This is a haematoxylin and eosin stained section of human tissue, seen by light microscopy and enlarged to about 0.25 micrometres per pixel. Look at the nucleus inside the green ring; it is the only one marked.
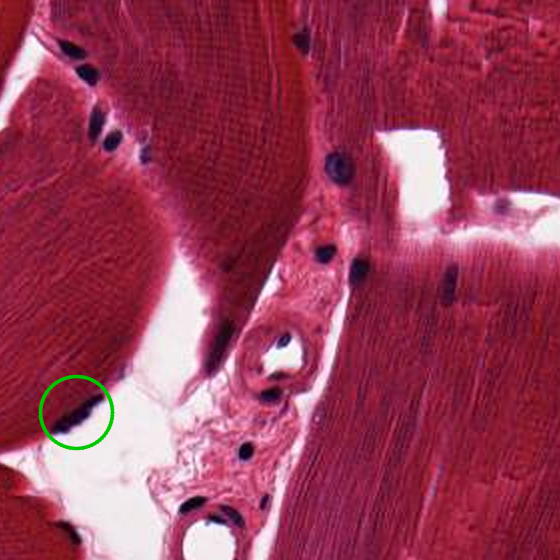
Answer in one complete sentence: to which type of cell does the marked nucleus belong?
Singled out by the mark is the nucleus of a skeletal muscle fibre.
